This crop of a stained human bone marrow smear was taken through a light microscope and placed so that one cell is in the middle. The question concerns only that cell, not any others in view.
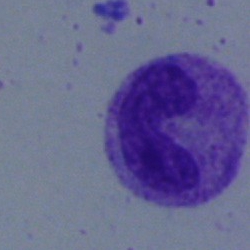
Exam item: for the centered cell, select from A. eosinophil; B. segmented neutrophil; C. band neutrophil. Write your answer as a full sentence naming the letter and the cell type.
Option C is correct in naming the middle cell a band neutrophil.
